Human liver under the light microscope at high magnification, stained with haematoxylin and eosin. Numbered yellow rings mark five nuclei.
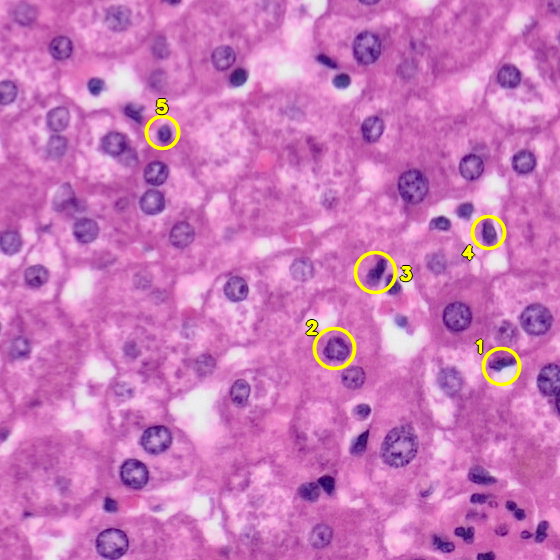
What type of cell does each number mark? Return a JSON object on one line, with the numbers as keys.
{"1": "endothelial cell", "2": "hepatocyte", "3": "fibroblast or stellate cell", "4": "Kupffer cell", "5": "lymphocyte"}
